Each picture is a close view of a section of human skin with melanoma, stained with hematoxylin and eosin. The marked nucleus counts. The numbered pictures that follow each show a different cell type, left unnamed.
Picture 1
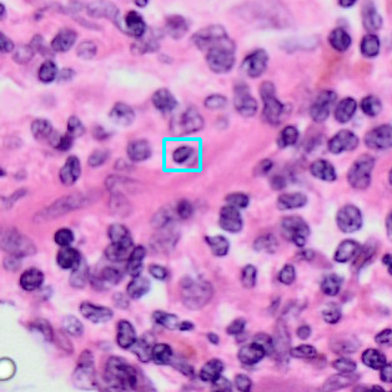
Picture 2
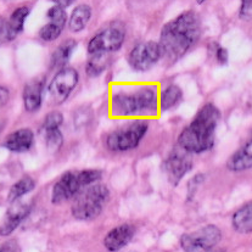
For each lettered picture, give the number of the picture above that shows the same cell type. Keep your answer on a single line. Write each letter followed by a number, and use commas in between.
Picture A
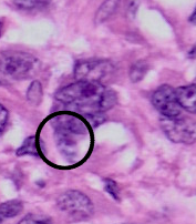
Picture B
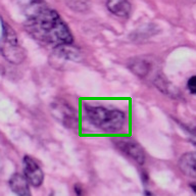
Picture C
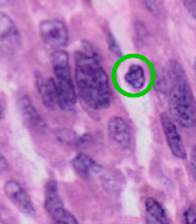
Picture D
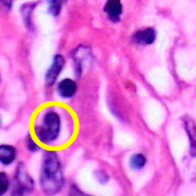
A 2, B 2, C 1, D 1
